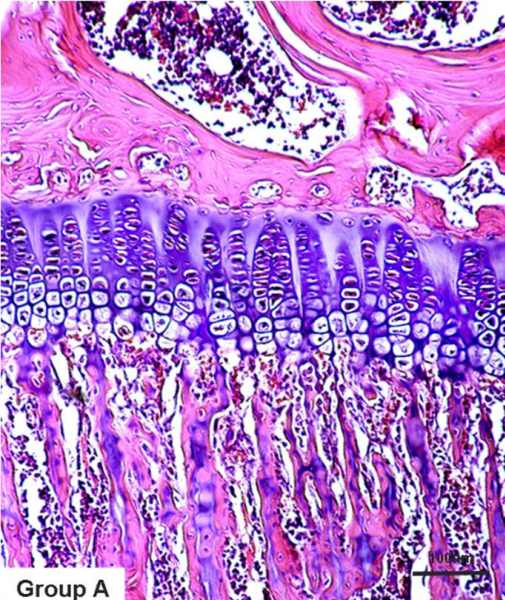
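This is the growth plate cartilage, a continuous band of purple-staining matrix lying between pink bone above and trabeculae with marrow below. Its chondrocytes sit in lacunae and are stacked in long, parallel columns running from top to bottom. Toward the lower edge the cells become larger and paler, with clear cytoplasm and distinct nuclei. Below the band, long spicules with purple cartilage cores extend down into red marrow.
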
